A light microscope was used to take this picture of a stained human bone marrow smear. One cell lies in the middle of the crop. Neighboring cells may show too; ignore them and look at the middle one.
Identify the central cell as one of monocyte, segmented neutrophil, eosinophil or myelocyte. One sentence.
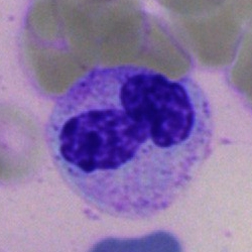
The centrally positioned cell in the crop represents a segmented neutrophil.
